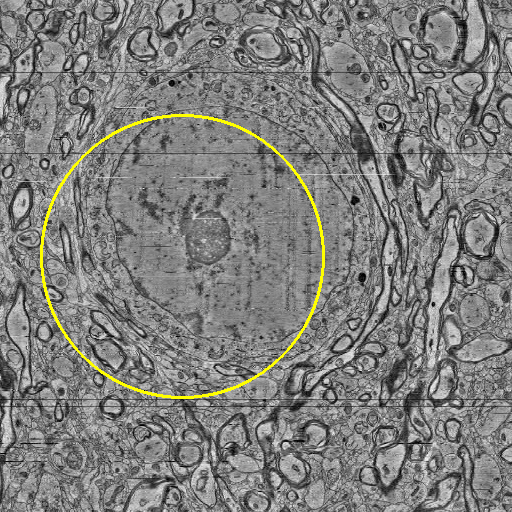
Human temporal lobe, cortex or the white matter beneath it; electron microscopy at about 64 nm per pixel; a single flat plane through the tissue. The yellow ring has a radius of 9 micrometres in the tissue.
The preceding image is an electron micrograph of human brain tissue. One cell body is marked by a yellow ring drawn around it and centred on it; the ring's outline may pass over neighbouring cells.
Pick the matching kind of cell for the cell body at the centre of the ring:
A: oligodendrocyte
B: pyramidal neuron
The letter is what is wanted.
B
